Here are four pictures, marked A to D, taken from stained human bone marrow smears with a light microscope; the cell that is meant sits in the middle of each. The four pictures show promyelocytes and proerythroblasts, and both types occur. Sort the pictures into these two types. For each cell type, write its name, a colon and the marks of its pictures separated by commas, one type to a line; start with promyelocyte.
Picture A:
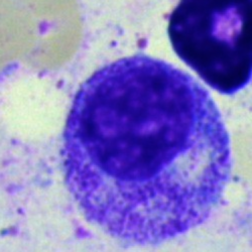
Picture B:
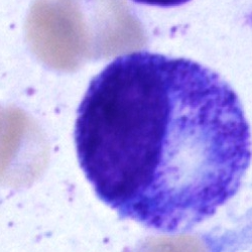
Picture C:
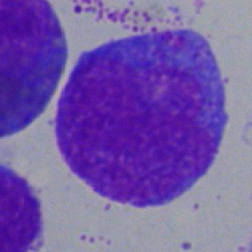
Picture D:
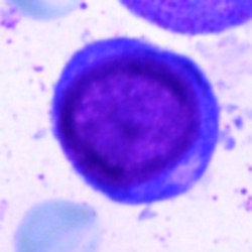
promyelocyte: A, B, C
proerythroblast: D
